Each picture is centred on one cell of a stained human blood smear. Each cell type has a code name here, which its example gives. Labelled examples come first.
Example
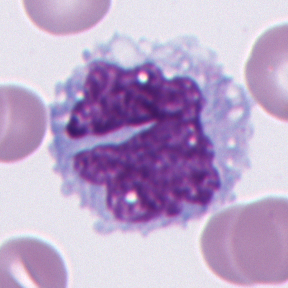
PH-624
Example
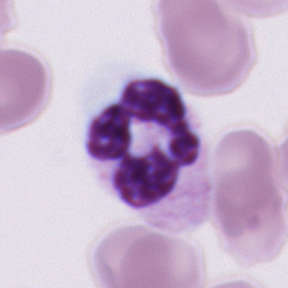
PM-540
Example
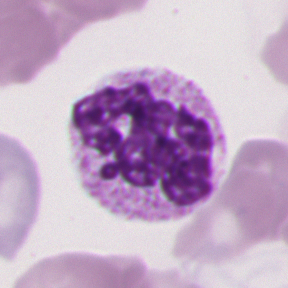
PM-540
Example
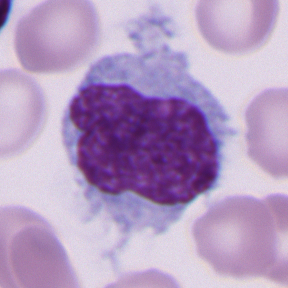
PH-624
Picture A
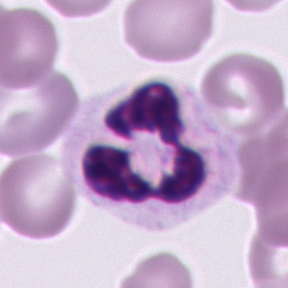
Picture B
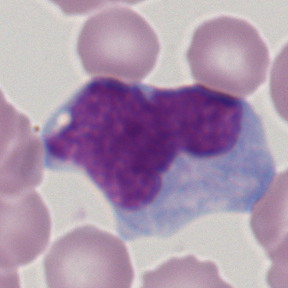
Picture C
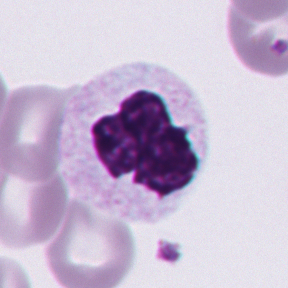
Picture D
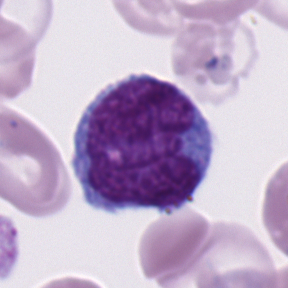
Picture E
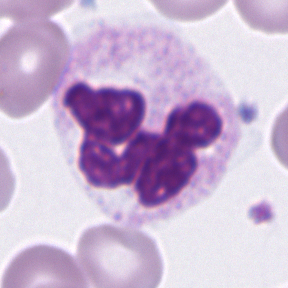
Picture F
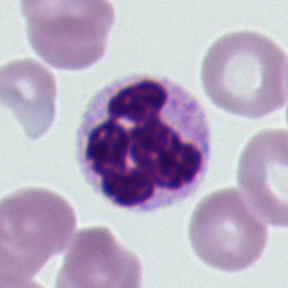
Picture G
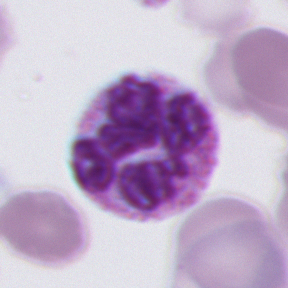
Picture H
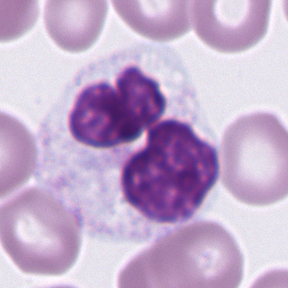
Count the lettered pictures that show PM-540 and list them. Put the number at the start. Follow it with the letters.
6: A, C, E, F, G, H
